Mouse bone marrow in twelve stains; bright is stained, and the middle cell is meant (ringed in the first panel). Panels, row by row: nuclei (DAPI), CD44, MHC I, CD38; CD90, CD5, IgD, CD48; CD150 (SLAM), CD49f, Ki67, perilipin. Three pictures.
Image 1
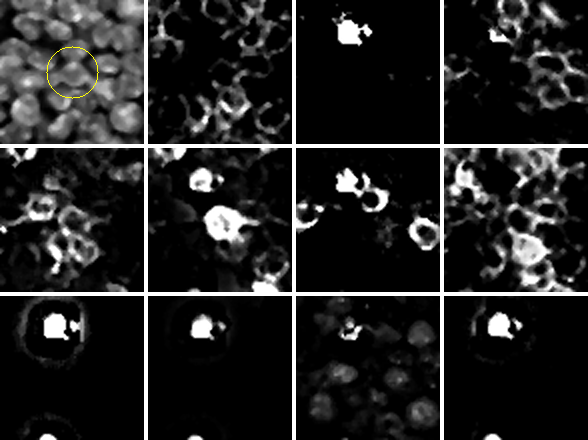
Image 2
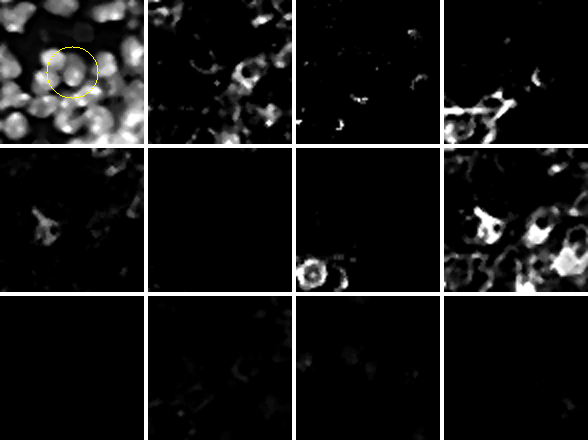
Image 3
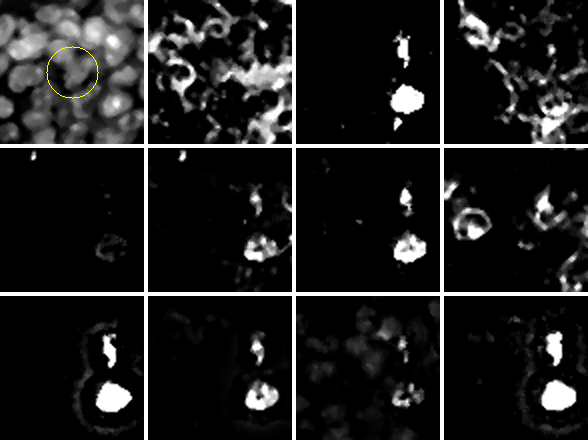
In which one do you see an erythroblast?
In picture 2.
